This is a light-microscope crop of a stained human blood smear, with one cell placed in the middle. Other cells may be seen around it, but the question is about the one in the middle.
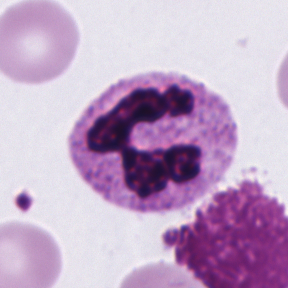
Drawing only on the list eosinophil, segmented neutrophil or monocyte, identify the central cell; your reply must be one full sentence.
In this crop, the cell at the very middle is a segmented neutrophil.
